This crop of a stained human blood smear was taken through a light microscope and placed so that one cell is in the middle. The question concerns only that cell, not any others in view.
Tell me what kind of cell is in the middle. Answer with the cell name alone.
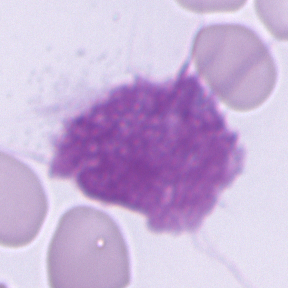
smudge cell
